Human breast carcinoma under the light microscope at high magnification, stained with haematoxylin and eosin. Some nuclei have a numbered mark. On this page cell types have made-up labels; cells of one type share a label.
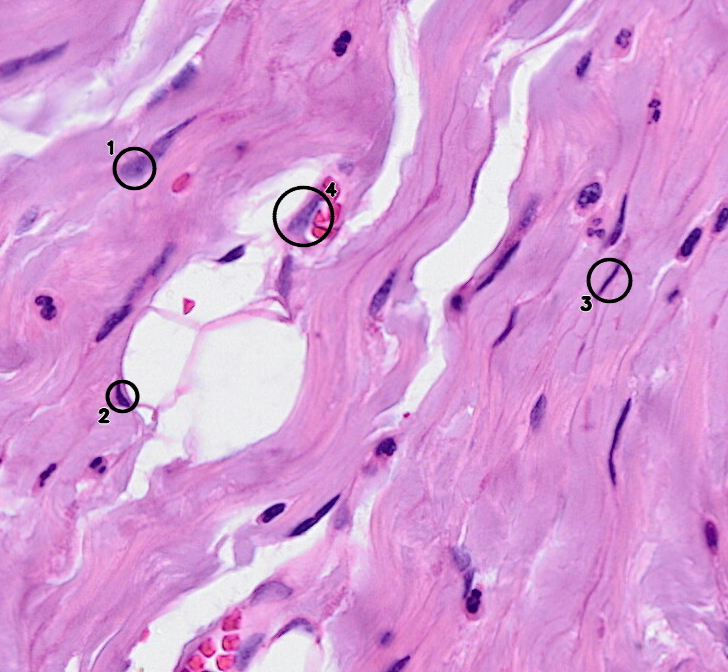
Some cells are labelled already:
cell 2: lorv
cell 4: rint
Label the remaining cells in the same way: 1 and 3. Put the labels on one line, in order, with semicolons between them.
lorv; lorv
